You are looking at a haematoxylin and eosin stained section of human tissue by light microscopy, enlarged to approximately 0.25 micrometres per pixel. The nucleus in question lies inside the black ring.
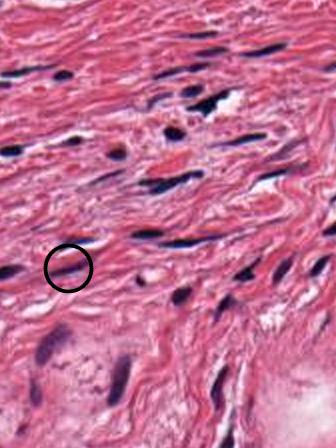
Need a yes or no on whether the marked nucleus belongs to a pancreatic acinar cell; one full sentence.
No, the marked nucleus is carried by a supporting cell rather than by a pancreatic acinar cell.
